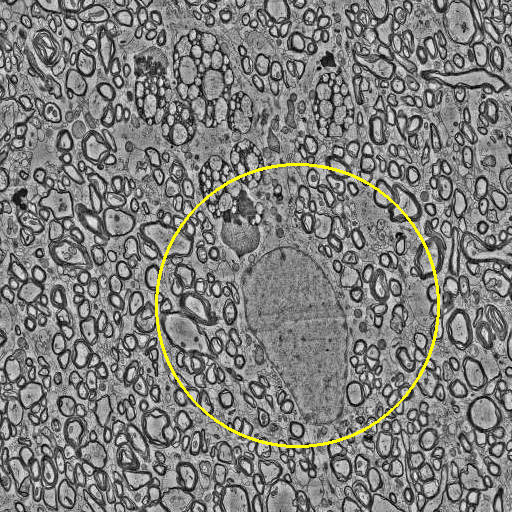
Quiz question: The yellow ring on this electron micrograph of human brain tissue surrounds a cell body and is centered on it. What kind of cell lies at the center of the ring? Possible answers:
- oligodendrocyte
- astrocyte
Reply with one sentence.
The ring's center lies on an astrocyte.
